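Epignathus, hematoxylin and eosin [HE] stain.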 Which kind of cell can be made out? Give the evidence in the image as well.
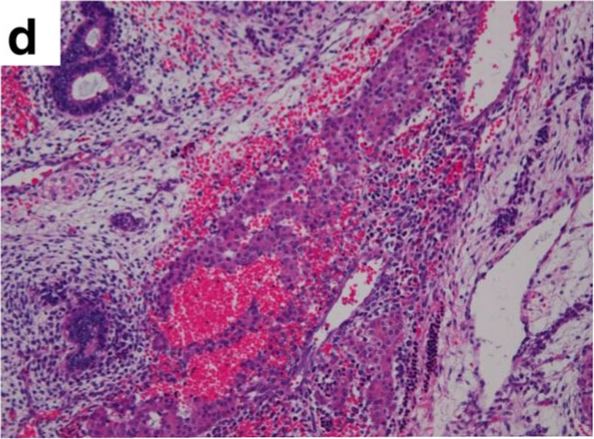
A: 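Cords of polygonal cells with pink cytoplasm and round nuclei. Abundant red blood cells between the cords.
Answer: Hepatocytes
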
